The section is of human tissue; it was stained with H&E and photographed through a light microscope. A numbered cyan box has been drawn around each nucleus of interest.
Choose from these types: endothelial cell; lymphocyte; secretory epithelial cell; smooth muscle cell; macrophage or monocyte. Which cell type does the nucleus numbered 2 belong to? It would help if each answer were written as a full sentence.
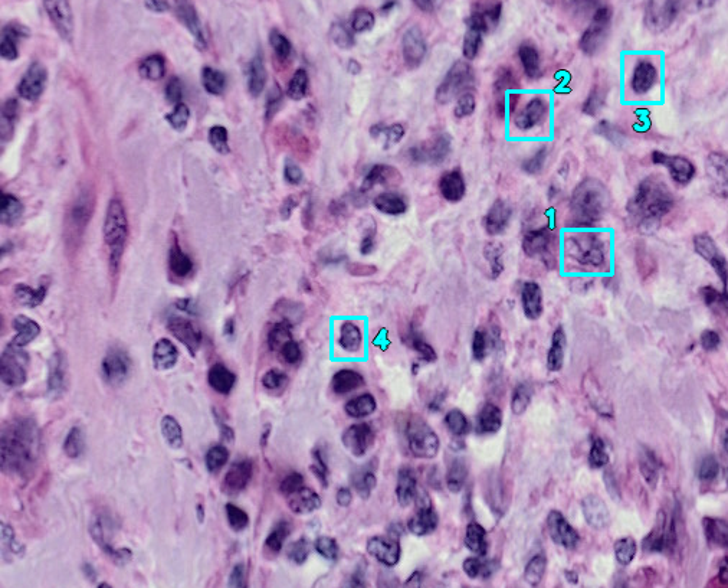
Denoted by the label 2 in the section is a lymphocyte.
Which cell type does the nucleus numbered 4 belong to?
The nucleus labelled 4 belongs to a lymphocyte.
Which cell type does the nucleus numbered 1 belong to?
The nucleus labelled 1 belongs to a macrophage or monocyte.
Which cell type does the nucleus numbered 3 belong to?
The one labeled 3 is a lymphocyte, to put it simply.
